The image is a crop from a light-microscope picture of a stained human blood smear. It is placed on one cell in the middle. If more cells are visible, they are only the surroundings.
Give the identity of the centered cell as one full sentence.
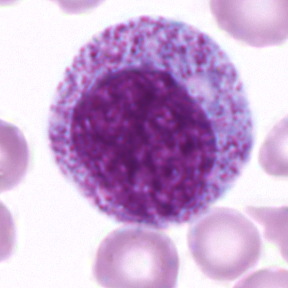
To answer, the cell in the center of the crop is a promyelocyte.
